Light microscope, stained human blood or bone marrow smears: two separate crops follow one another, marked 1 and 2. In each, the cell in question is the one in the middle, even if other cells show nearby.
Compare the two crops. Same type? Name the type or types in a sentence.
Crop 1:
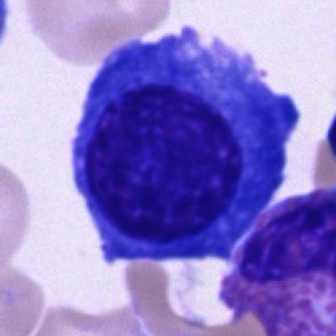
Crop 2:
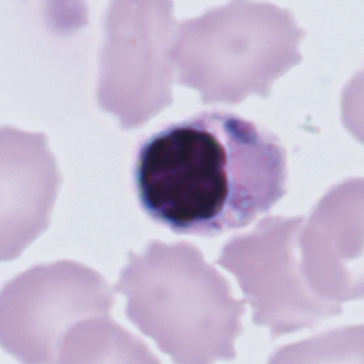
No, enter a plasma cell for crop 1 and a normoblast for crop 2.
